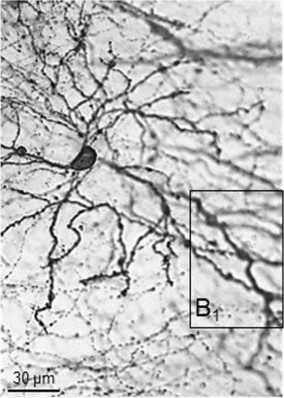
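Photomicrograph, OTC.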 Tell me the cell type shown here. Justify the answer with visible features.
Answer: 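Interneuron. A small, dark oval cell body. Many thin, beaded branches spread densely around it.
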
